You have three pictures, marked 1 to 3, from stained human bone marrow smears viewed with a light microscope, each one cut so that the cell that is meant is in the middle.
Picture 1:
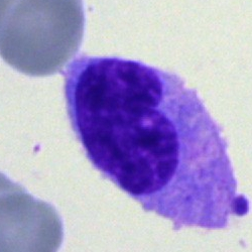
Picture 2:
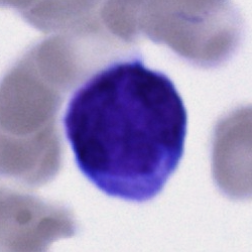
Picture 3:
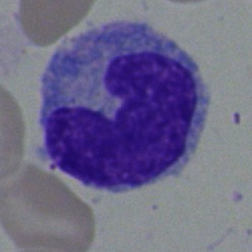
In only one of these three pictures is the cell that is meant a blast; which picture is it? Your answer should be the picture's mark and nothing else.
2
